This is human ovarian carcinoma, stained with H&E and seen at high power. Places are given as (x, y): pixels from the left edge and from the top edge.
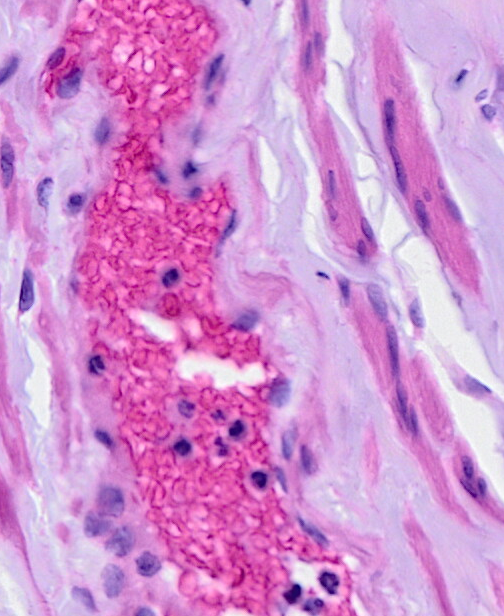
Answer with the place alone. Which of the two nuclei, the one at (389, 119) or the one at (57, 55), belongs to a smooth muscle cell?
(389, 119)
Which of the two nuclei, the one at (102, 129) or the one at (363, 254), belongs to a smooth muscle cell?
(363, 254)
